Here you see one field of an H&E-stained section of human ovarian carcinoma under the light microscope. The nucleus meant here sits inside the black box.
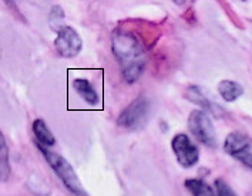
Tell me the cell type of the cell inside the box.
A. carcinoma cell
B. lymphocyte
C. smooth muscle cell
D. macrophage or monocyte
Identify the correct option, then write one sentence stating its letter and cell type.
Here the cell inside the box is a lymphocyte, which makes option B correct.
